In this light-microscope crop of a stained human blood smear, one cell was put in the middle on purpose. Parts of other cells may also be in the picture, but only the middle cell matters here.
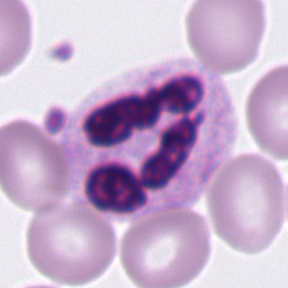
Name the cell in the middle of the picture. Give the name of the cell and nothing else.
segmented neutrophil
